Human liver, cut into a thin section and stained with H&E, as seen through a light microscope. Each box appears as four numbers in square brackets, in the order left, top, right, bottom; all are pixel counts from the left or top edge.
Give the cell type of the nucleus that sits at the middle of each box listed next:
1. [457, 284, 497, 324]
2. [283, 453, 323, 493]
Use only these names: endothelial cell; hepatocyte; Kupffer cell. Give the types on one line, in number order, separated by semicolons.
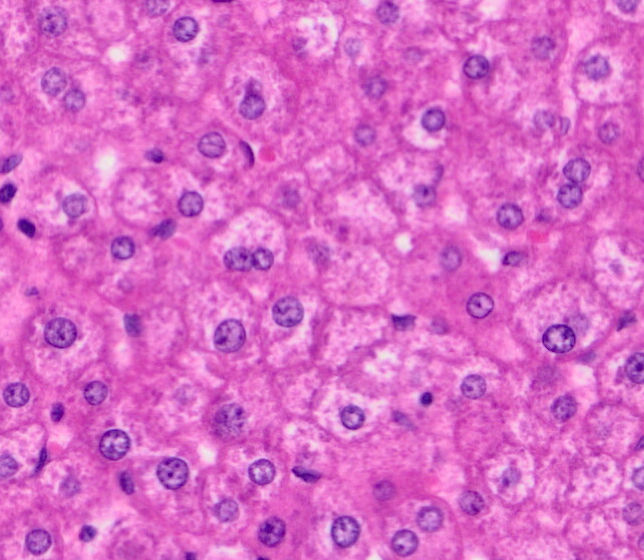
hepatocyte; endothelial cell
